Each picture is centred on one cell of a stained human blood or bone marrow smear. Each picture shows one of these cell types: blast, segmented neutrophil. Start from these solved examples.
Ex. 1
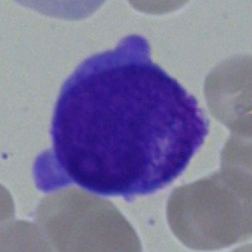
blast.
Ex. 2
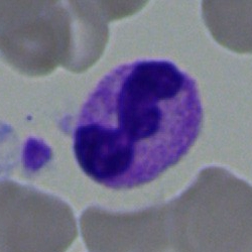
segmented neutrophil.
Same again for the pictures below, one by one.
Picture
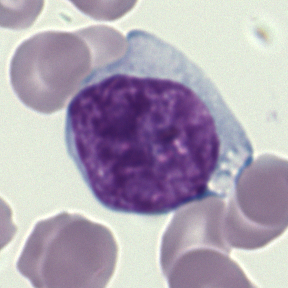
blast.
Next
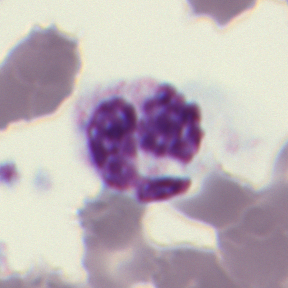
segmented neutrophil.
